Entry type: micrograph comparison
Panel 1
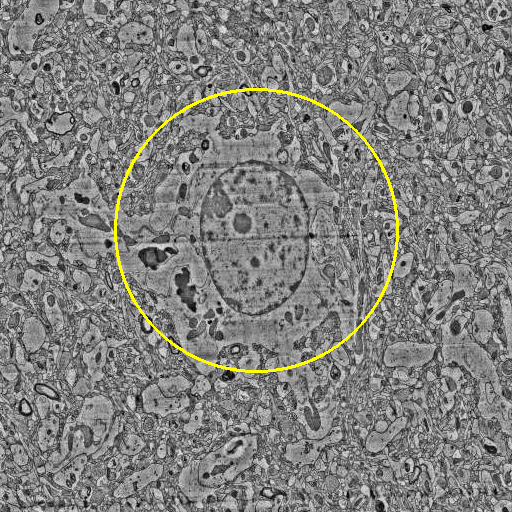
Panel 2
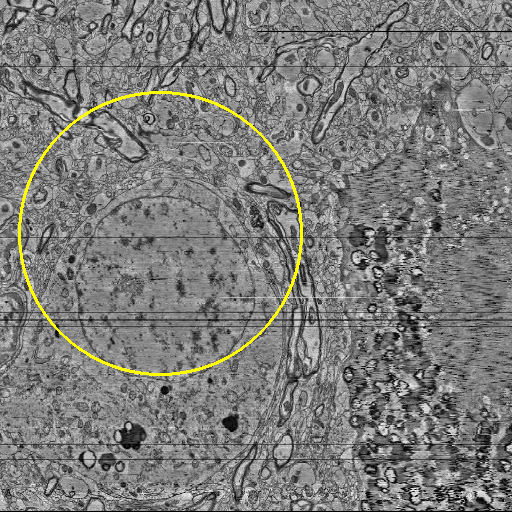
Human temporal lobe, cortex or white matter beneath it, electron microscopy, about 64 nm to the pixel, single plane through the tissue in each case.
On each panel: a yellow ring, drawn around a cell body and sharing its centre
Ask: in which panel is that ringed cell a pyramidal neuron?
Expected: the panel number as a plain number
2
